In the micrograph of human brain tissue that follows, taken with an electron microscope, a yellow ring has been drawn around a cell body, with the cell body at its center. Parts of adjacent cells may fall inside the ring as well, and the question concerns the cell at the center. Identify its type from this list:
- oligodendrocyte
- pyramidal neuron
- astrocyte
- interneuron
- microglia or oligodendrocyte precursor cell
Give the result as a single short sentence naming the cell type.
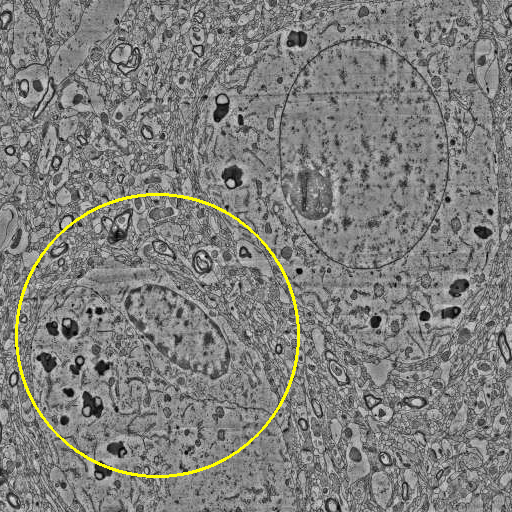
The ring is centered on a microglial cell or oligodendrocyte precursor cell.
